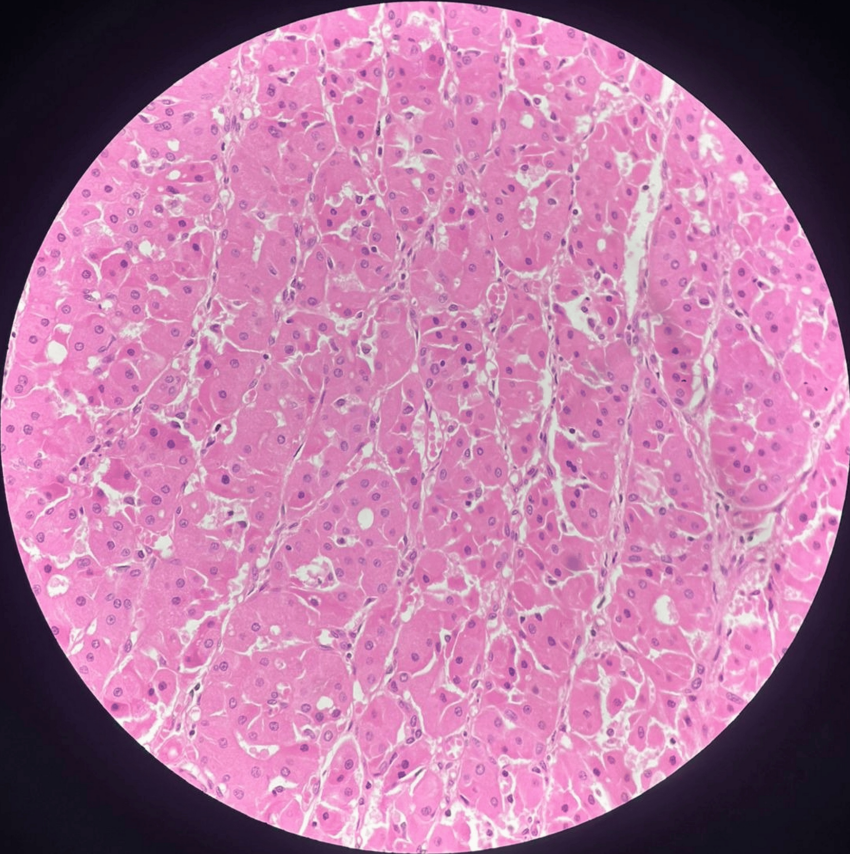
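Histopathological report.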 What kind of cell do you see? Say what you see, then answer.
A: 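Large polygonal cells with abundant pink cytoplasm. Cytoplasm looks finely granular. Nuclei are small, round and fairly uniform. On this evidence: oncocytic.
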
